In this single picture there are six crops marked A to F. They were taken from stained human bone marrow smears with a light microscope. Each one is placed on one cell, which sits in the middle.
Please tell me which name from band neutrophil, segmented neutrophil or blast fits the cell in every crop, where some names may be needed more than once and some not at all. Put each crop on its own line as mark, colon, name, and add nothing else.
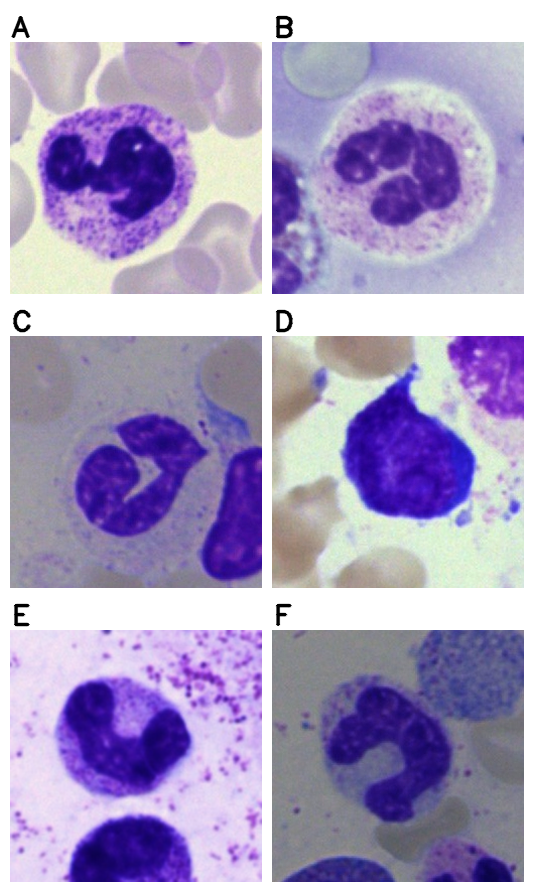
A: segmented neutrophil
B: segmented neutrophil
C: segmented neutrophil
D: blast
E: band neutrophil
F: band neutrophil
